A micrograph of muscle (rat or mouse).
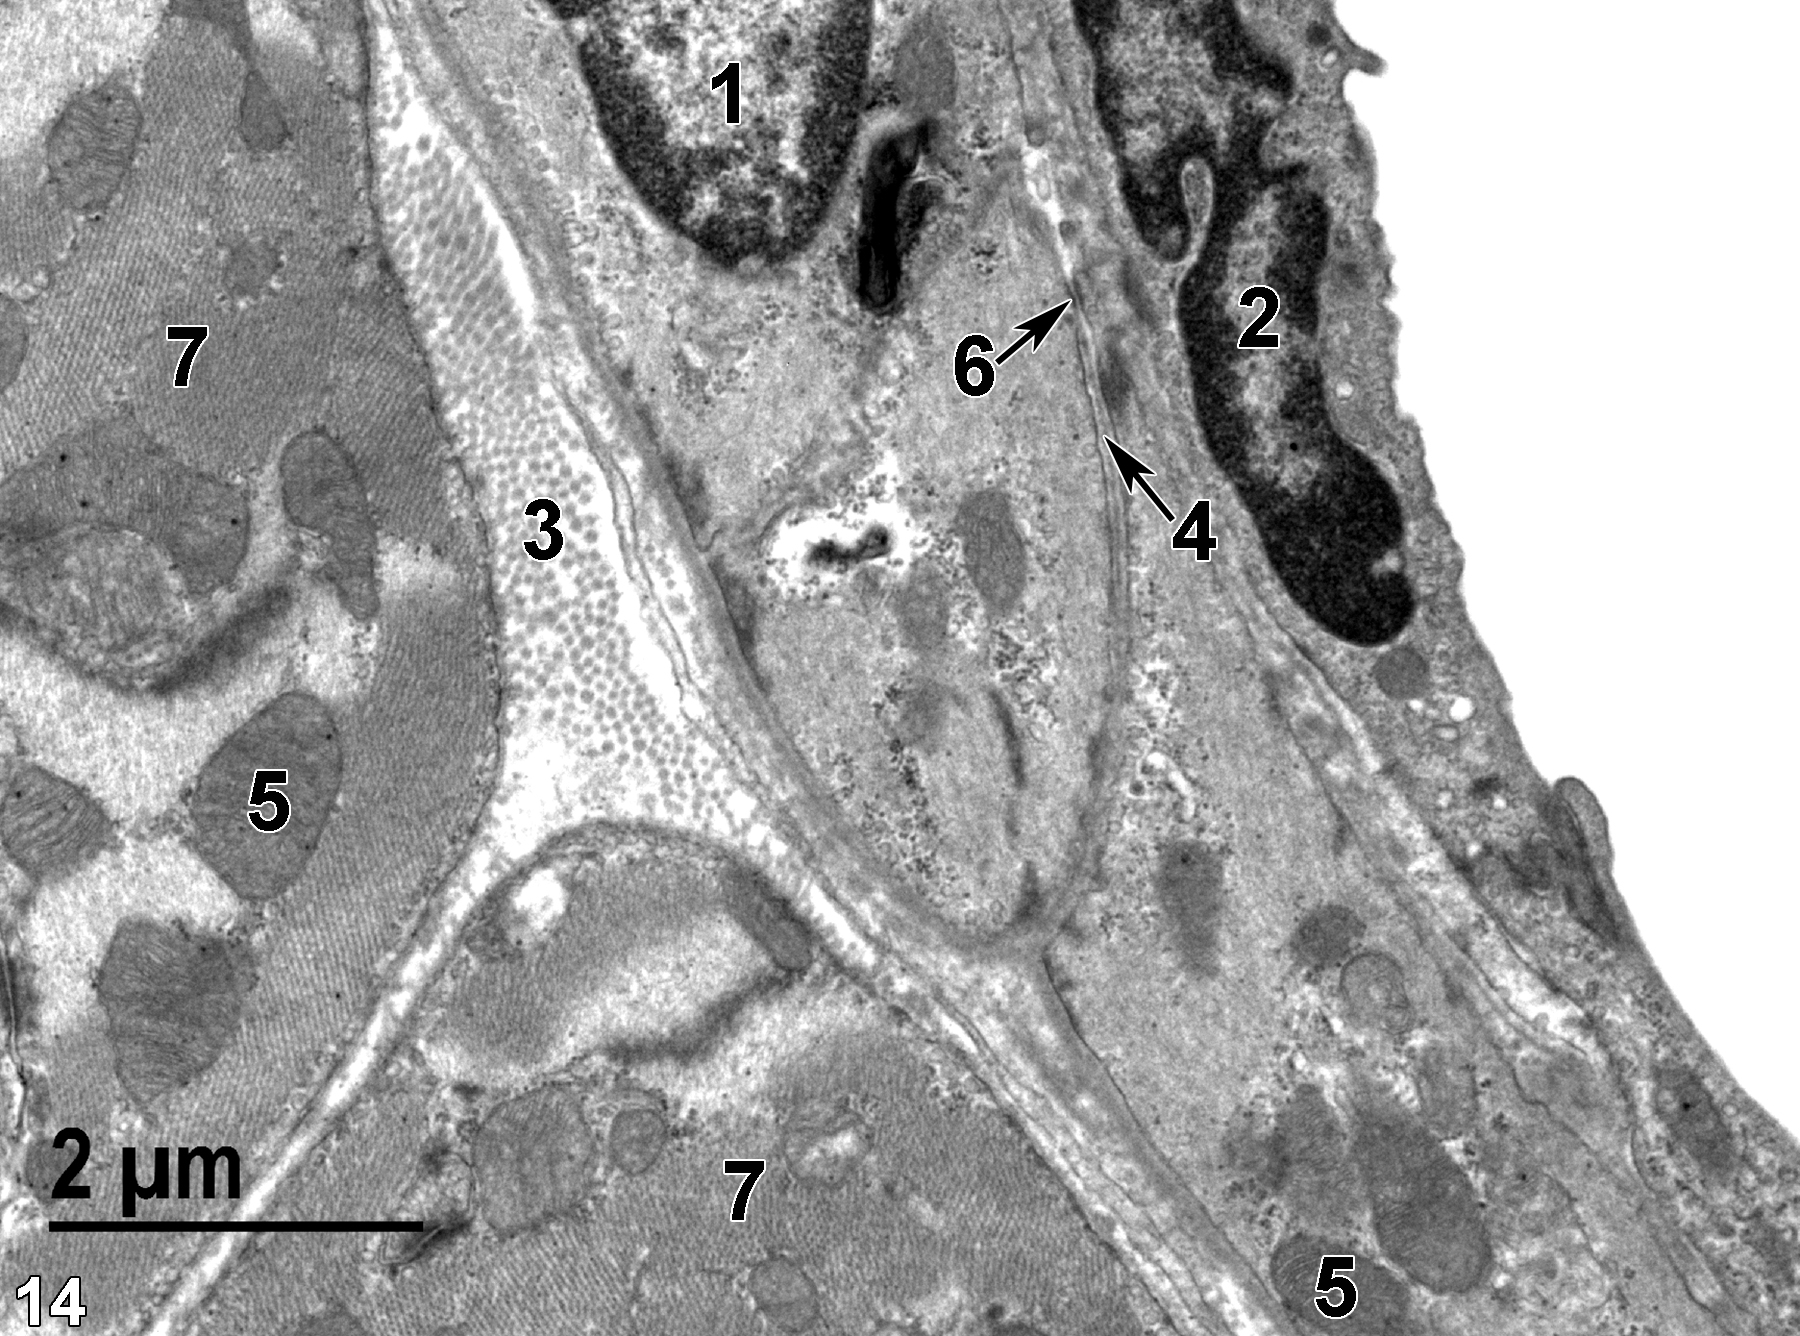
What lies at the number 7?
The number 7 marks the striated cardiac myocytes.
